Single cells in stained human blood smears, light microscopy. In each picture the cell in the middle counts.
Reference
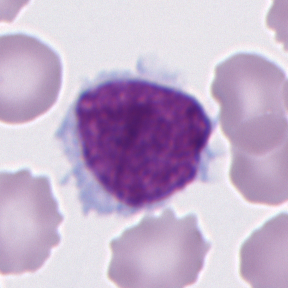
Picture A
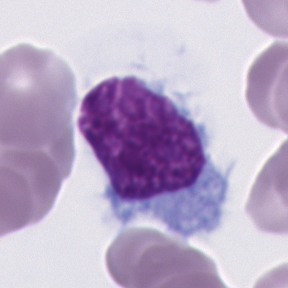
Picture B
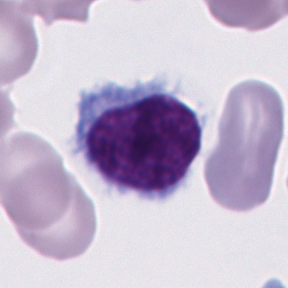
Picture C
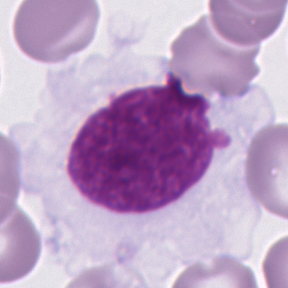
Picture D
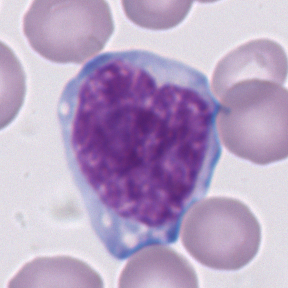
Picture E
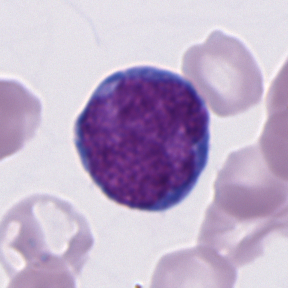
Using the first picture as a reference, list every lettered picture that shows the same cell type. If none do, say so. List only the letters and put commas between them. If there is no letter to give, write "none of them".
A, B, C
